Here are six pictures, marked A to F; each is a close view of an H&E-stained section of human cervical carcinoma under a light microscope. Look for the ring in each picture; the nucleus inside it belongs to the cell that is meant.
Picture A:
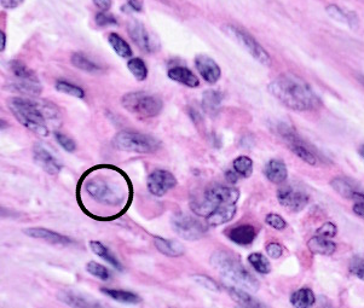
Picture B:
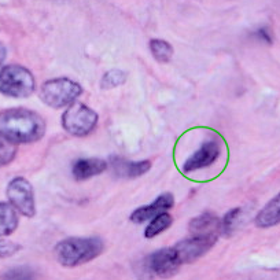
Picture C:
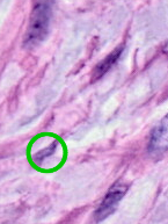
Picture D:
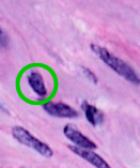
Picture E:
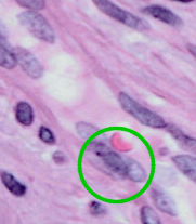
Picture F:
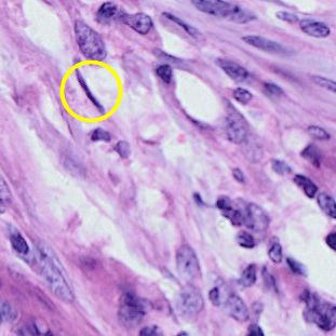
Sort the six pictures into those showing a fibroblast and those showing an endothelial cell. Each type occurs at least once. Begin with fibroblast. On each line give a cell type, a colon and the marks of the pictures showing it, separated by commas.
fibroblast: B, C, D, F
endothelial cell: A, E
